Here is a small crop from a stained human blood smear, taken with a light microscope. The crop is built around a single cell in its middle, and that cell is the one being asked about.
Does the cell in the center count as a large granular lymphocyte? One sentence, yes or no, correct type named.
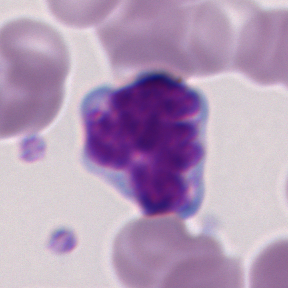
Yes, this central cell is a large granular lymphocyte.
